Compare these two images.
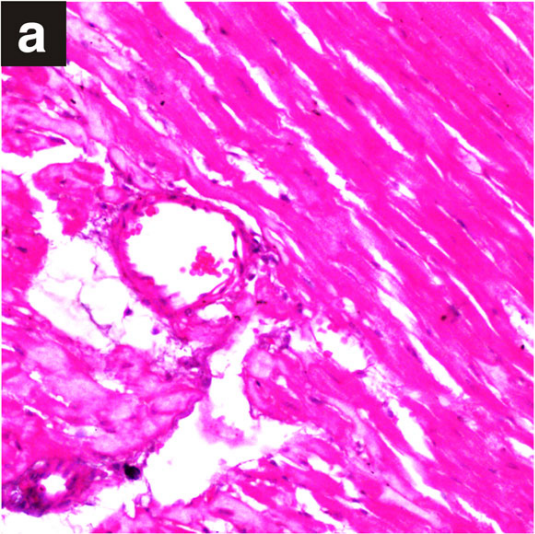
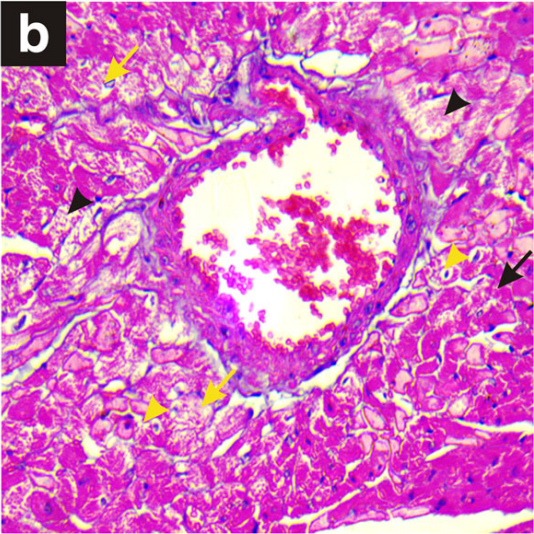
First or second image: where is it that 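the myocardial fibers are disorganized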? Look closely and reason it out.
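Second image: fibers are irregular, pale in patches and separated by clear spaces. First image: fibers run in parallel, evenly deep pink bands on the right side. On this evidence: the second image.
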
